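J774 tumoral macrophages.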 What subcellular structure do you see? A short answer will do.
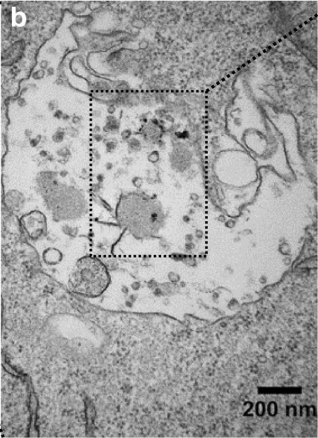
Vacuole.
